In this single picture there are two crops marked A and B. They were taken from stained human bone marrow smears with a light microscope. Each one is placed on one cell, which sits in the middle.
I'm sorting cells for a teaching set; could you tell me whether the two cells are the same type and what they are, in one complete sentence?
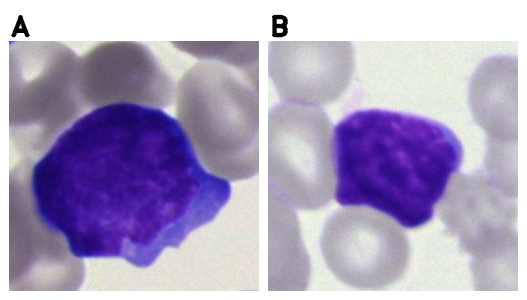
Yes, both crops show blasts in the middle.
